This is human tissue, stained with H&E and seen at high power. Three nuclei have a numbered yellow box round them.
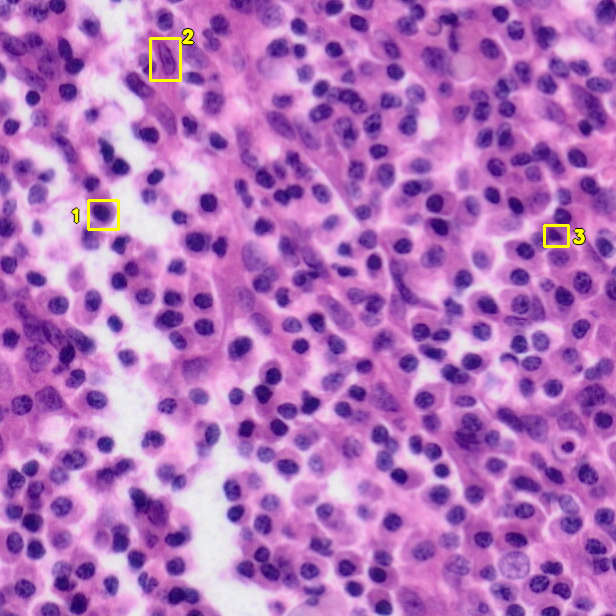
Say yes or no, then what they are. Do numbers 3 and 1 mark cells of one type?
Yes, cells 3 and 1 both fall under plasma cells.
